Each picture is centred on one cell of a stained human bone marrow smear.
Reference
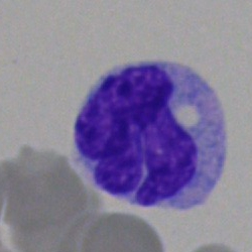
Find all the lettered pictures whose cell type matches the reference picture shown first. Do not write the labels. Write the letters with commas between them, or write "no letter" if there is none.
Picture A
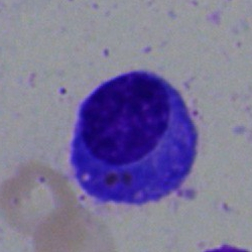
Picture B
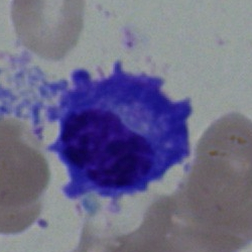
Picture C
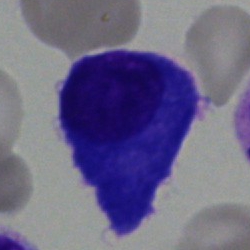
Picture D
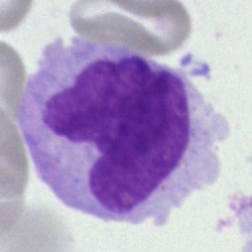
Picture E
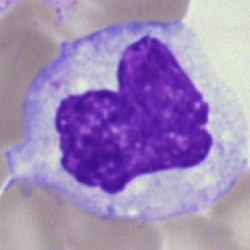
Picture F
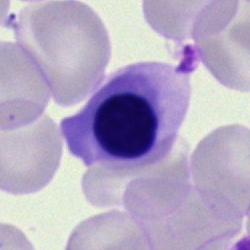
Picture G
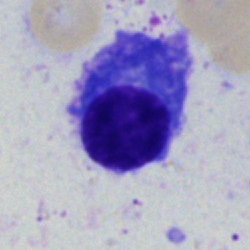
D, E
